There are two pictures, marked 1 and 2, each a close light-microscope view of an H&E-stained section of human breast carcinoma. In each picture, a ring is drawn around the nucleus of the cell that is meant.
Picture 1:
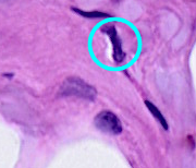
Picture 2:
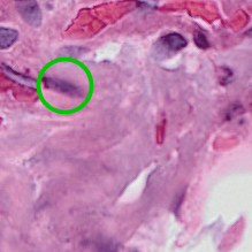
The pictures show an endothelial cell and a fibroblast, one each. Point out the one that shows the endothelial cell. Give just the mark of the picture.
2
